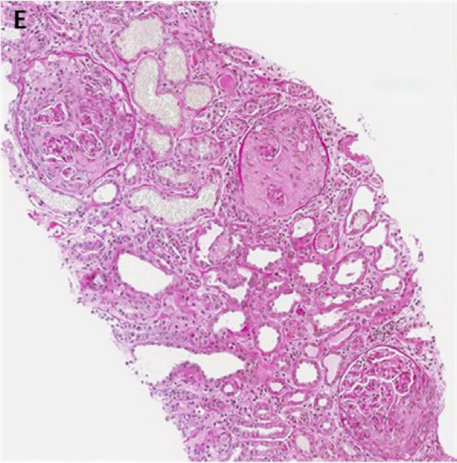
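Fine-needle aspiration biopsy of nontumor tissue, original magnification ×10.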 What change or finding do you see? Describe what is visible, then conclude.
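Crescentic lesions. Several round glomeruli lie within the core of tissue. The glomeruli have crowded, cellular material filling the space inside their capsules. Dilated tubules lie between them.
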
